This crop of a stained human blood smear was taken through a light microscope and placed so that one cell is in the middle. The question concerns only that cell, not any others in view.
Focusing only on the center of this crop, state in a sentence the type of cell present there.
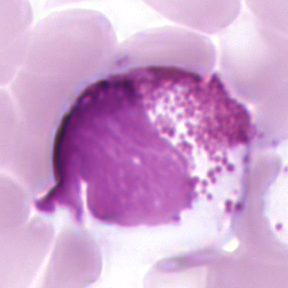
Centrally within this crop lies an eosinophil.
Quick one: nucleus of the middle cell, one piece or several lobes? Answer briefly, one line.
Have a look at the nucleus, which is one compact mass, round, oval or kidney-shaped.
